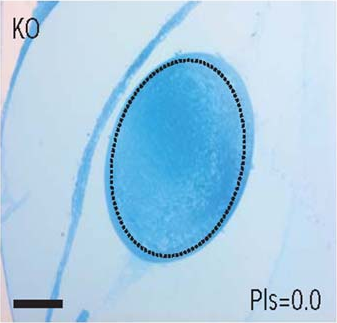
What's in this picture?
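A section through the eye shows an oval lens stained blue, with a thin, smooth outer rim and an interior that is mottled and irregular throughout. The disordered region, outlined by a dashed oval, occupies nearly the entire lens, reflecting a cataract in which the lens fibers have lost their even arrangement. Thin layers of ocular tissue run along the outside of the lens.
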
